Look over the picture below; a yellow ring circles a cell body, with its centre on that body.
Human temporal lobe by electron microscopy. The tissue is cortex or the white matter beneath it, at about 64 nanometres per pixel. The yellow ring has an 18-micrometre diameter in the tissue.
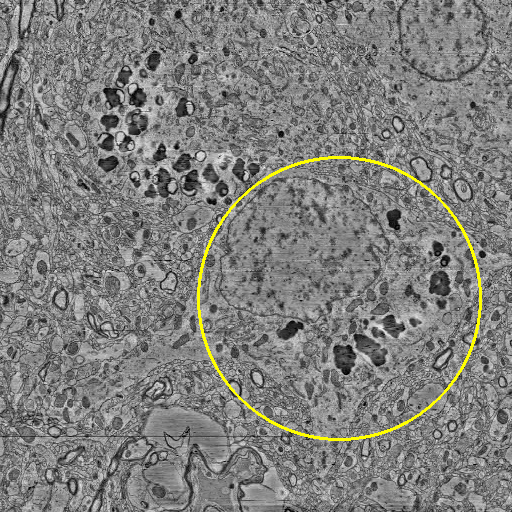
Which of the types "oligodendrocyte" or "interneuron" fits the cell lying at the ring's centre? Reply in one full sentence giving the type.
The picture shows an interneuron at the centre of the yellow ring.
